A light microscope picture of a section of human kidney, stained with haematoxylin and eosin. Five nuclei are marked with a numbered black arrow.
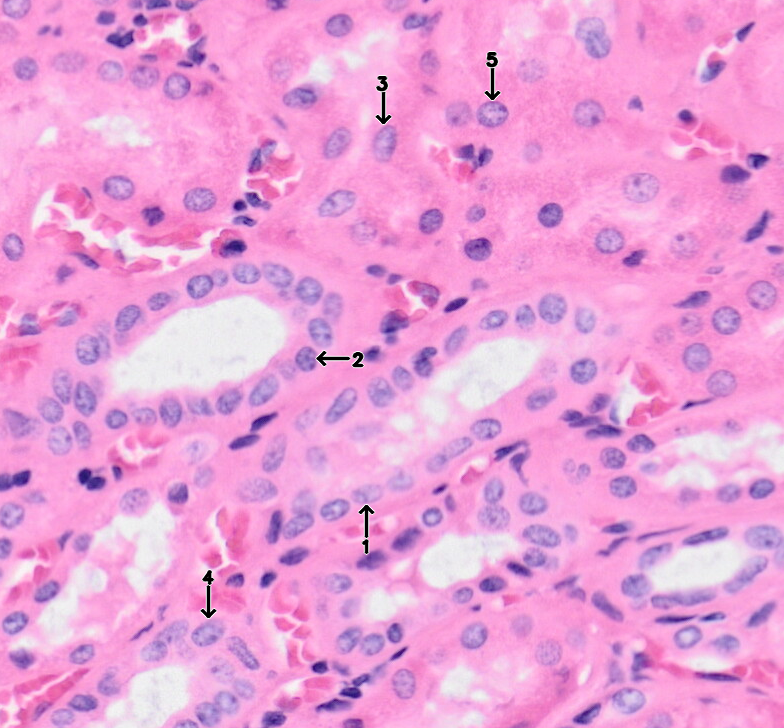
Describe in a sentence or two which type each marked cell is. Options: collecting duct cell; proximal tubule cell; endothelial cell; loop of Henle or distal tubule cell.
Cell 1 is a collecting duct cell, cell 2 is a collecting duct cell, cell 3 is a proximal tubule cell, cell 4 is a collecting duct cell and cell 5 is a proximal tubule cell.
